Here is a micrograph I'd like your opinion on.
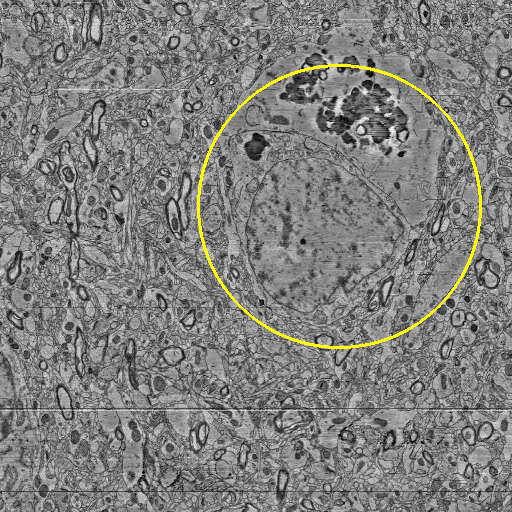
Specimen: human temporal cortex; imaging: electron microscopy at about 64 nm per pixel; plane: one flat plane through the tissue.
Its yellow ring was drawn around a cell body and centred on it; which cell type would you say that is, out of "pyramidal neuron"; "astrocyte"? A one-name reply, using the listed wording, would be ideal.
pyramidal neuron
